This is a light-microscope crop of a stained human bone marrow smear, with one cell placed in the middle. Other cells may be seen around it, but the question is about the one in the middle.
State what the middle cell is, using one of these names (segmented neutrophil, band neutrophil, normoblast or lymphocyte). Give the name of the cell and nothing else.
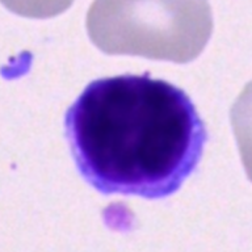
lymphocyte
